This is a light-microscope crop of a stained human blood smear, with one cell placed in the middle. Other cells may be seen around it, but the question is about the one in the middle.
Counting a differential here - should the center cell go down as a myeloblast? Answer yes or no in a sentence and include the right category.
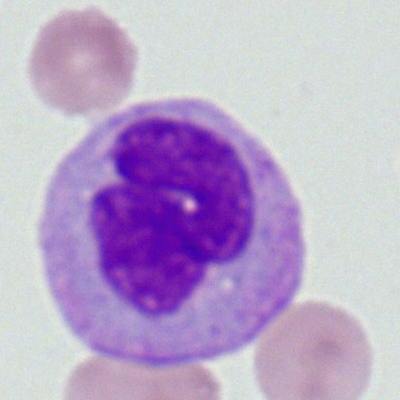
No, the cell in the middle should be called a monocyte instead of a myeloblast.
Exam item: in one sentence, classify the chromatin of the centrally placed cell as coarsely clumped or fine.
The chromatin pattern is fine and free of coarse clumps.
